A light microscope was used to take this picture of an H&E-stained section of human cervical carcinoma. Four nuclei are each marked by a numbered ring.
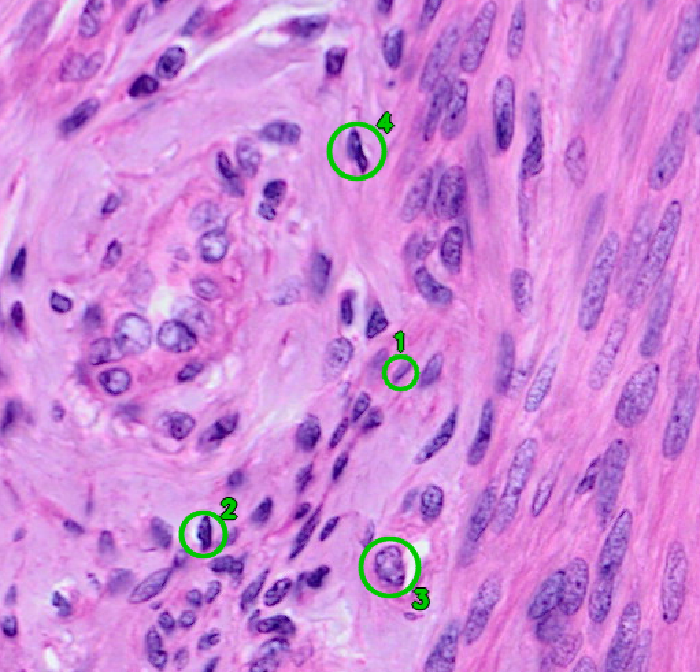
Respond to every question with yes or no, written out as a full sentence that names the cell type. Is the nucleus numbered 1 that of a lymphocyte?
No, what is marked as number 1 is a smooth muscle cell rather than a lymphocyte.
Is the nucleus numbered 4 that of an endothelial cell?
No, calling cell 4 an endothelial cell is incorrect; it is a lymphocyte.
